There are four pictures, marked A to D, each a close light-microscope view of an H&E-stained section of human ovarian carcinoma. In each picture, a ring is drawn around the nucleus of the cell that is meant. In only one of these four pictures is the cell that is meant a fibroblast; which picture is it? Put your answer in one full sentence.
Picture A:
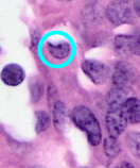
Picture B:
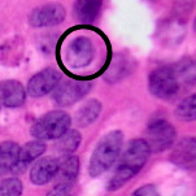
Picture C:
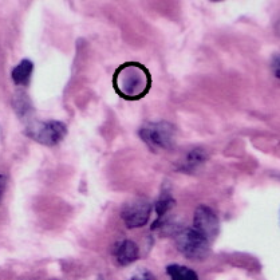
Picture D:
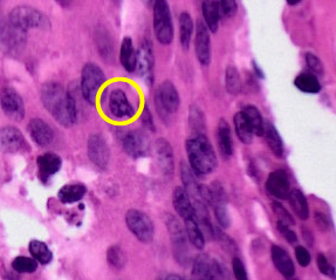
Picture C shows the fibroblast.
